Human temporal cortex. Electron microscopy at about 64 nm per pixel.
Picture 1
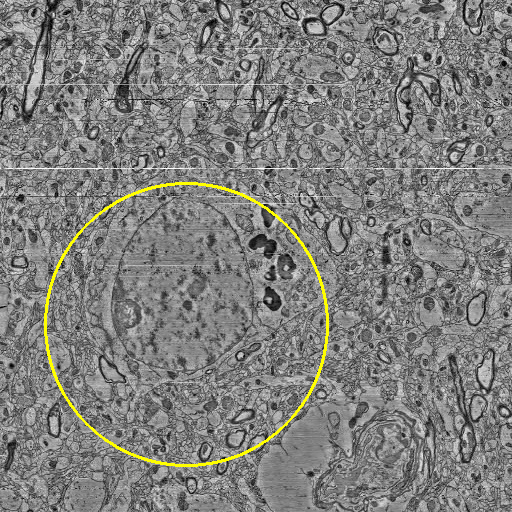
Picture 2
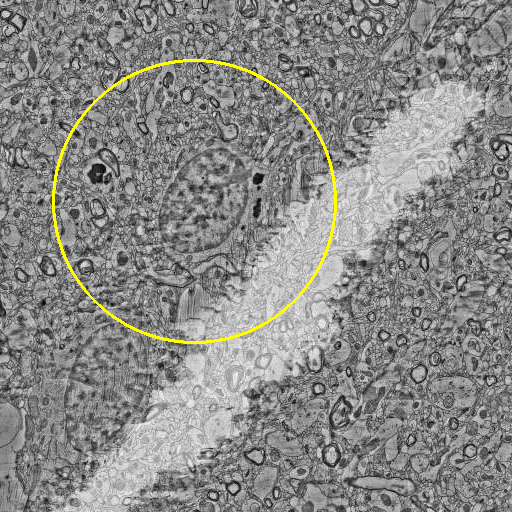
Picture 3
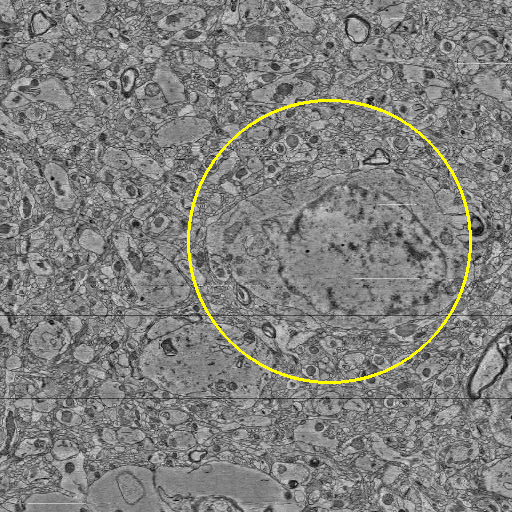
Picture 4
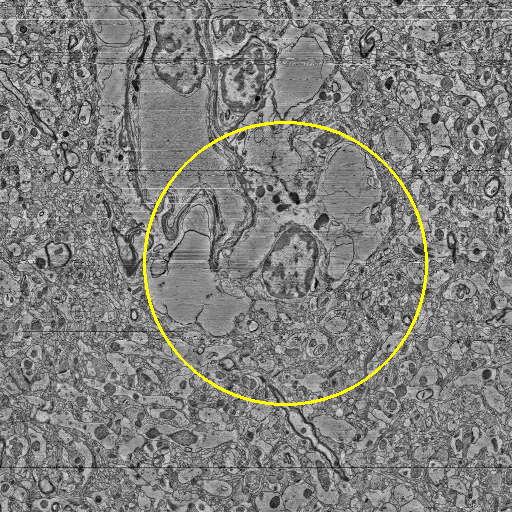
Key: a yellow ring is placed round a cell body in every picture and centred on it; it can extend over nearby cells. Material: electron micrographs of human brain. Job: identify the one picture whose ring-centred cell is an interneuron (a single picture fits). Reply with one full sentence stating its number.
Picture 3 is the one with the sought cell at the centre of its ring.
